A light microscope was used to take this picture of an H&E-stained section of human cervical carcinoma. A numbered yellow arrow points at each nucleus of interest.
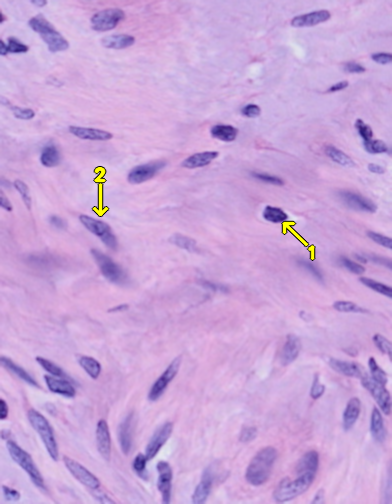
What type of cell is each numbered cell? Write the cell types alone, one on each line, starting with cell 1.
lymphocyte
fibroblast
